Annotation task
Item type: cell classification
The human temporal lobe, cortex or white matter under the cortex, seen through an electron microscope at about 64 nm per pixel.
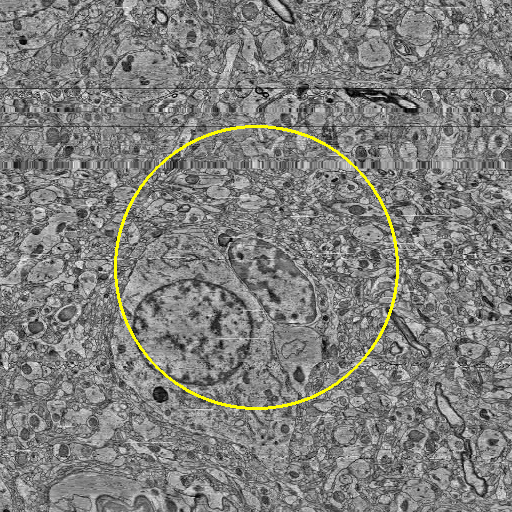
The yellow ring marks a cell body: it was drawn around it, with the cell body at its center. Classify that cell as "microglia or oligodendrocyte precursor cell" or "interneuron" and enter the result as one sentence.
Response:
The ring's center falls on a microglial cell or oligodendrocyte precursor cell.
